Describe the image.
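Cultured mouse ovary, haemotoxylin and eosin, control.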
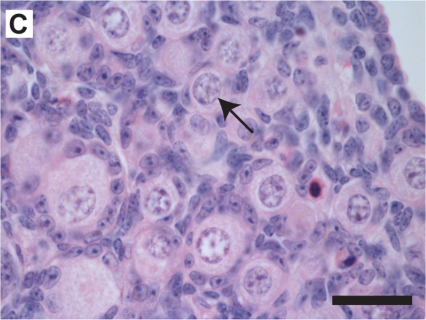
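Ovarian cortex with many follicles: oocytes with pale pink cytoplasm and large round nuclei with granular, speckled chromatin, each surrounded by a ring of flattened or cuboidal follicle cells with oval purple nuclei. Small oocytes ringed by a single thin layer of flattened cells lie close together, and a few larger oocytes with more abundant pink cytoplasm appear at the left. Between the follicles lies stroma of spindle-shaped cells with elongated nuclei. Only occasional dark, condensed cells are seen, and most nuclei look intact.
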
